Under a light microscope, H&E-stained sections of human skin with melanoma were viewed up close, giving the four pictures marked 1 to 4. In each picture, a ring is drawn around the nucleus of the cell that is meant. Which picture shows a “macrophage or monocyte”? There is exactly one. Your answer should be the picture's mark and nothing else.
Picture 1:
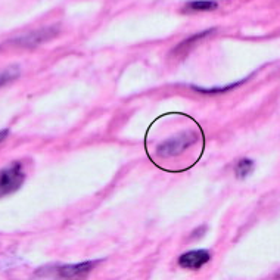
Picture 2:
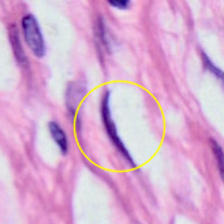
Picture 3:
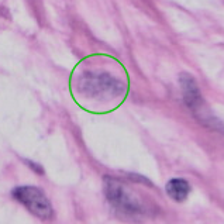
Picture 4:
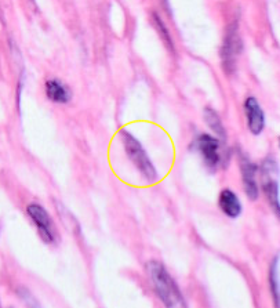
1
